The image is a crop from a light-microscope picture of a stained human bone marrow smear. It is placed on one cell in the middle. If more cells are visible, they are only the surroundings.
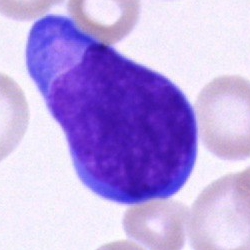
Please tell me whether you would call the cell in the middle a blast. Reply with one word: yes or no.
yes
